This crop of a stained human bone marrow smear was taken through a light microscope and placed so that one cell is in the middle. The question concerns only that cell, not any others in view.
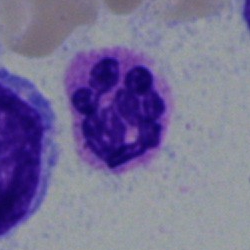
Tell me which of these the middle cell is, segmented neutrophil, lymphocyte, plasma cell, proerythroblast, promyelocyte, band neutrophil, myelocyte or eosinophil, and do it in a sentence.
Classified as a segmented neutrophil is the cell in the middle of this crop.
